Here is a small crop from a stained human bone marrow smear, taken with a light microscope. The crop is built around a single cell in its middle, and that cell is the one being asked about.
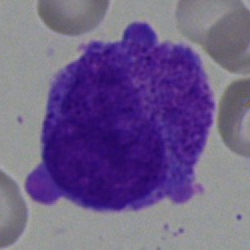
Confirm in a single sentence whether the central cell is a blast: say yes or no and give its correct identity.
Yes, that is a blast in the middle of the crop.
